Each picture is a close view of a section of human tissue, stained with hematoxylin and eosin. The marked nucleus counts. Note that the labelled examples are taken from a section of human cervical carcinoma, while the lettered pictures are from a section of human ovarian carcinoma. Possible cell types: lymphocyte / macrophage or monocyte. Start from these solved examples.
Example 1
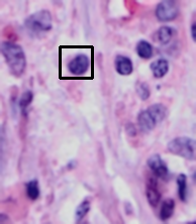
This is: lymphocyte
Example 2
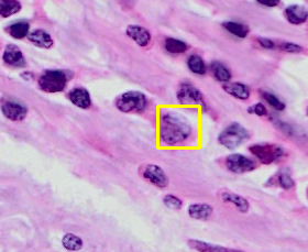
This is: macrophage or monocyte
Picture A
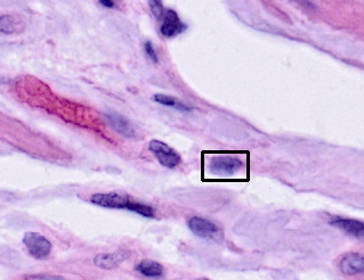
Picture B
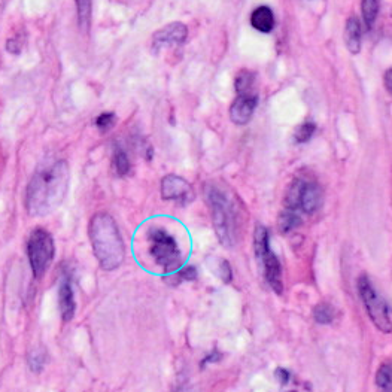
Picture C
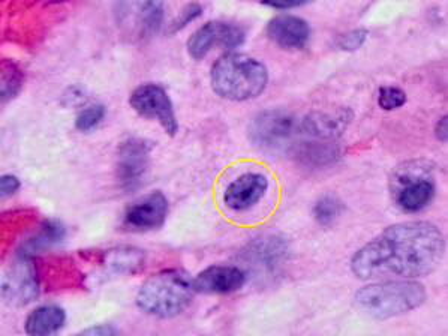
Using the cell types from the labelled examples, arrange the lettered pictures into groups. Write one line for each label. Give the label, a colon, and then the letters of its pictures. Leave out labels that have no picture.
lymphocyte: B, C
macrophage or monocyte: A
